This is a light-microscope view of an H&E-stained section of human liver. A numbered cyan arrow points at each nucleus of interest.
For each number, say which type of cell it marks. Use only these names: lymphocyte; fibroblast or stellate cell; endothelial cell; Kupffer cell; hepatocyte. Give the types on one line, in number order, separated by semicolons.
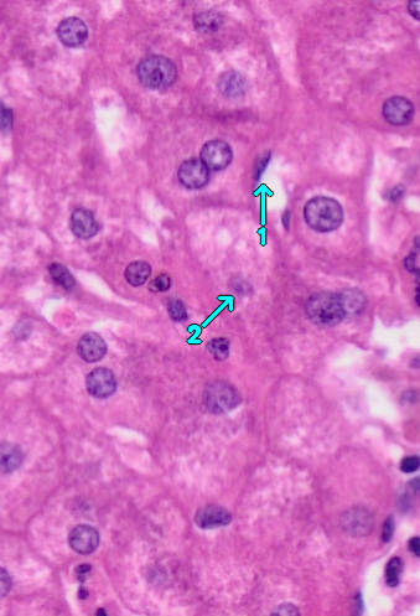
endothelial cell; hepatocyte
